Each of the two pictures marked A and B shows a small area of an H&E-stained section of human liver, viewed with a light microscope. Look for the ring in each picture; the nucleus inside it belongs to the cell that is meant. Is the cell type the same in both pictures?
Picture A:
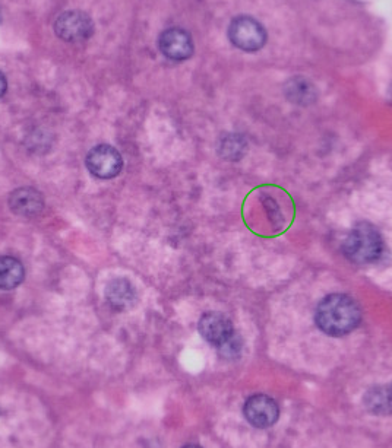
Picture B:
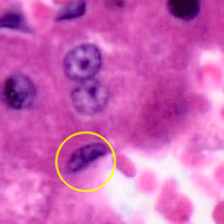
no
